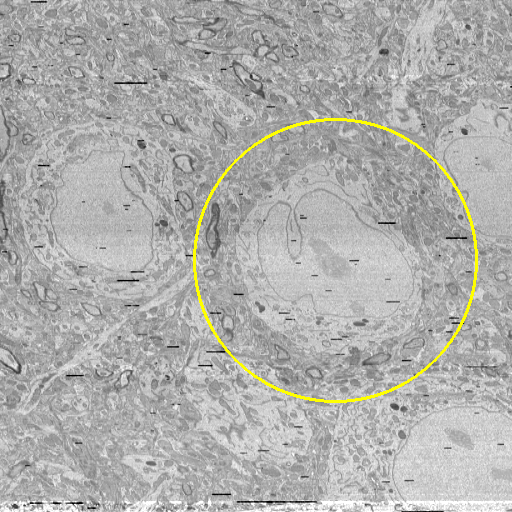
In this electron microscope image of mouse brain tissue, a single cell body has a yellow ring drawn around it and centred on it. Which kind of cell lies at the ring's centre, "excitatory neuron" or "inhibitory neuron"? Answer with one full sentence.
It is an excitatory neuron whose cell body lies at the centre of the yellow ring here.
